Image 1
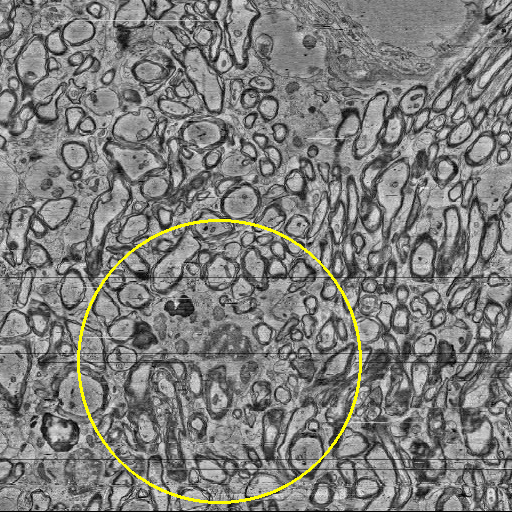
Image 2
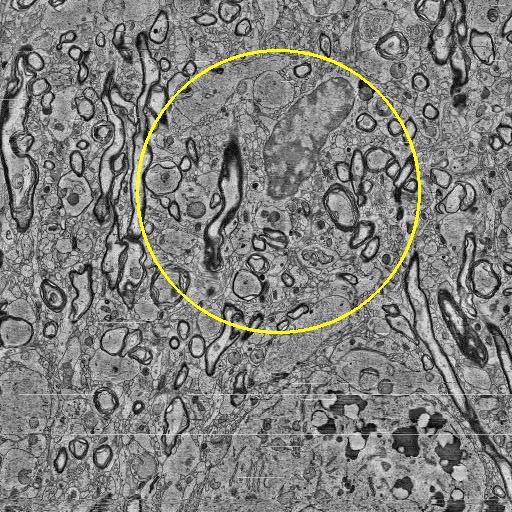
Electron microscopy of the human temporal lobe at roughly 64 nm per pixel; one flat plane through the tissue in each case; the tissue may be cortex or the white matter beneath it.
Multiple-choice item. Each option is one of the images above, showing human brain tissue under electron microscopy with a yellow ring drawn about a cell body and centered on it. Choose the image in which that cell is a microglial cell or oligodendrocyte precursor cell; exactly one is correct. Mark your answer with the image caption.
Image 2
